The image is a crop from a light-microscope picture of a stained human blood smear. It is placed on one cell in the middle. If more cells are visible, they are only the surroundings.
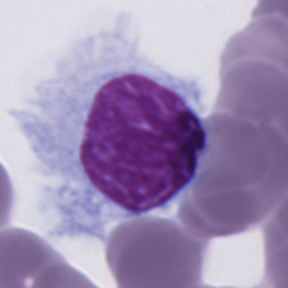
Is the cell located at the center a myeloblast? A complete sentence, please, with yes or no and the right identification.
No, the middle cell is classified as a hairy cell and not as a myeloblast.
